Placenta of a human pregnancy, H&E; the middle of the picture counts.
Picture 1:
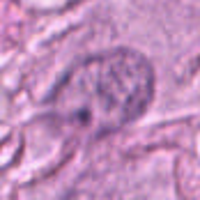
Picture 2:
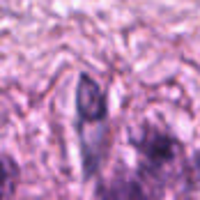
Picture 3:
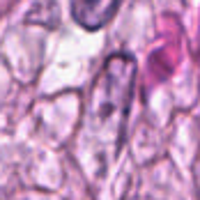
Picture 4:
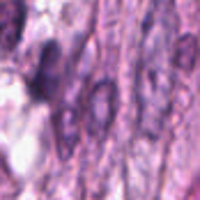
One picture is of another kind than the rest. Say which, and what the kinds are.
Picture 2 shows a vascular myocyte; the rest show maternal decidual cells.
